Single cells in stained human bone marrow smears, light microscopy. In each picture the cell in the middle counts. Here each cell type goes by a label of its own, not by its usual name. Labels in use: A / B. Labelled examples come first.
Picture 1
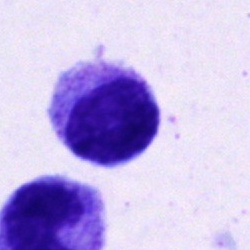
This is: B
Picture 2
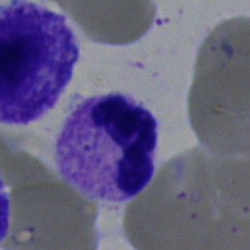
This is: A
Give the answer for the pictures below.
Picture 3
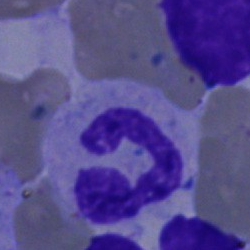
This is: A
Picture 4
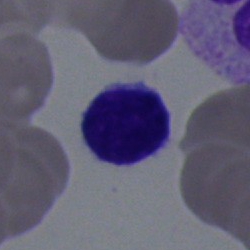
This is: B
